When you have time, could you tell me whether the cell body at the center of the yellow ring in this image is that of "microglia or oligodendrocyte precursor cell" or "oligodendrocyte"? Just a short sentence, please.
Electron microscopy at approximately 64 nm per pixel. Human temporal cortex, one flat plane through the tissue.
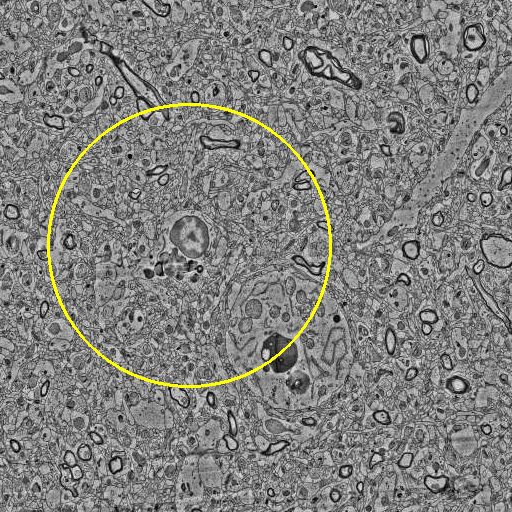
The cell body at the center of the ring is that of a microglial cell or oligodendrocyte precursor cell.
